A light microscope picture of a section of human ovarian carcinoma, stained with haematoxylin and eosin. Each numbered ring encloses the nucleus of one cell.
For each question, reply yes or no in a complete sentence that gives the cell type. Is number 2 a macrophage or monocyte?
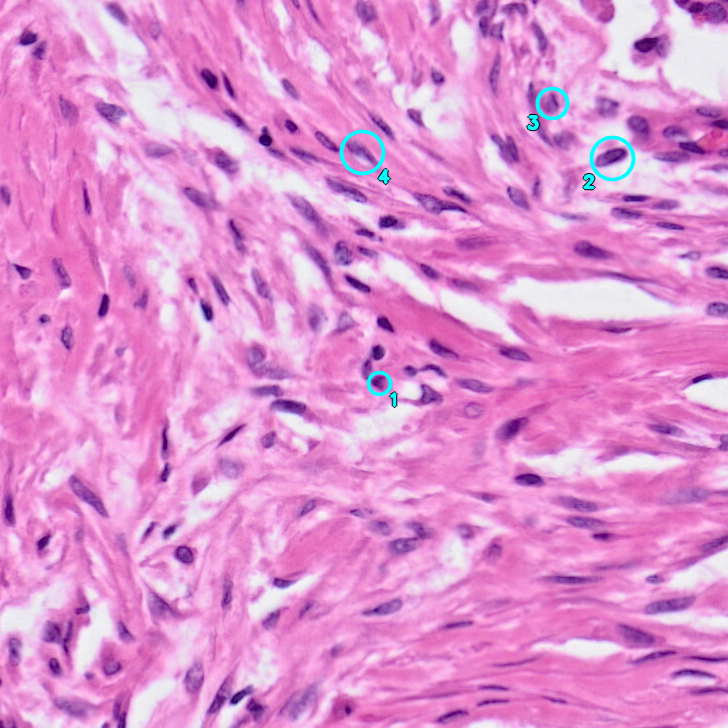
Yes, the cell that has number 2 is a macrophage or monocyte.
